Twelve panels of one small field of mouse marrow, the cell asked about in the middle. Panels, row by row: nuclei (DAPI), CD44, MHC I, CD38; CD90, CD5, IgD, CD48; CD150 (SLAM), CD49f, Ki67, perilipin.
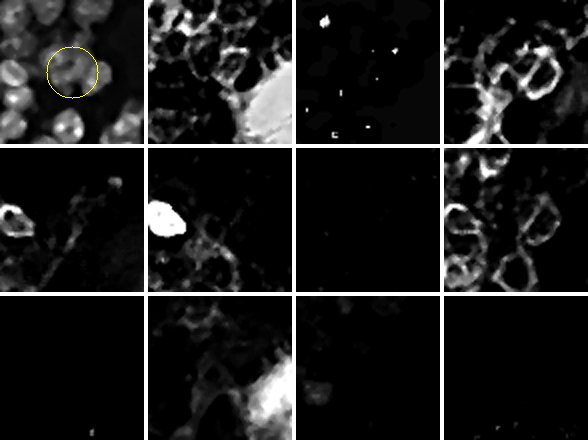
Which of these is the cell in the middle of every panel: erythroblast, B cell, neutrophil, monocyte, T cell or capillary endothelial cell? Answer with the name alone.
capillary endothelial cell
